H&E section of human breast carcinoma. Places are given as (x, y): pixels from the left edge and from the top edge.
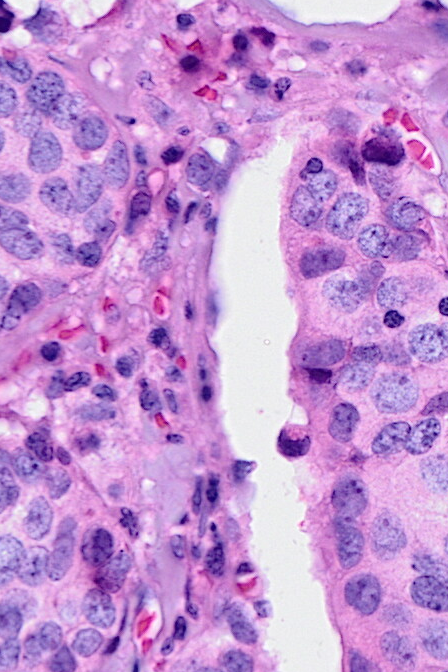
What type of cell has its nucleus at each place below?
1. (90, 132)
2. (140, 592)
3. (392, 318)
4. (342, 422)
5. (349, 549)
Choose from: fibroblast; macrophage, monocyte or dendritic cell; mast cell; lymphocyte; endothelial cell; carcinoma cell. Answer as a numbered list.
1. carcinoma cell
2. endothelial cell
3. lymphocyte
4. carcinoma cell
5. carcinoma cell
